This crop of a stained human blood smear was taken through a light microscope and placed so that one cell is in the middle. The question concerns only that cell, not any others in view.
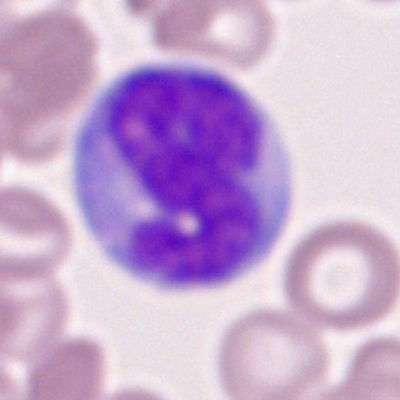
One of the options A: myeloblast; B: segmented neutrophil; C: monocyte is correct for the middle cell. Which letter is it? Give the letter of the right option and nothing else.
C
